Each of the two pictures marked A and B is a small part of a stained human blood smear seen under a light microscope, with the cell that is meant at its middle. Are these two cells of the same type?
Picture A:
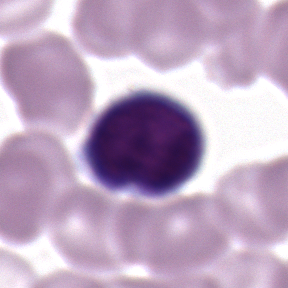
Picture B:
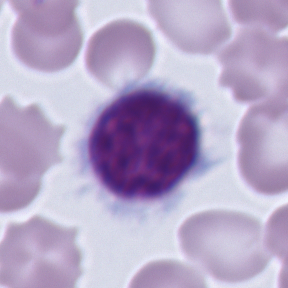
no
